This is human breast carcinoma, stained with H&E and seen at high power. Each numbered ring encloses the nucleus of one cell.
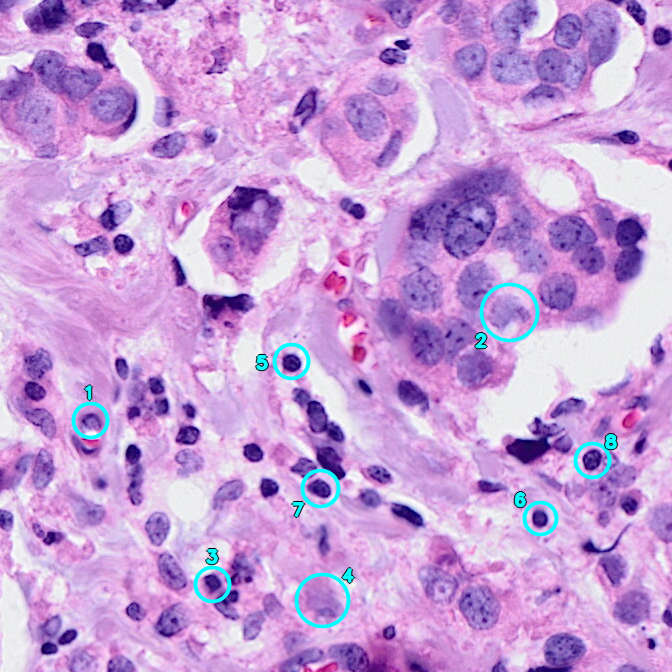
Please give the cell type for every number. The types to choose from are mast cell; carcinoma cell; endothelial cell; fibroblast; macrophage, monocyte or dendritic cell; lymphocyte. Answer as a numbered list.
1. endothelial cell
2. carcinoma cell
3. lymphocyte
4. fibroblast
5. lymphocyte
6. lymphocyte
7. lymphocyte
8. lymphocyte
